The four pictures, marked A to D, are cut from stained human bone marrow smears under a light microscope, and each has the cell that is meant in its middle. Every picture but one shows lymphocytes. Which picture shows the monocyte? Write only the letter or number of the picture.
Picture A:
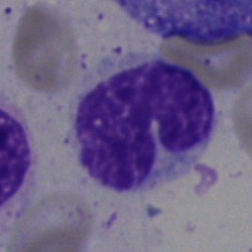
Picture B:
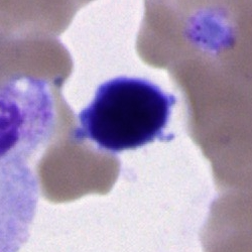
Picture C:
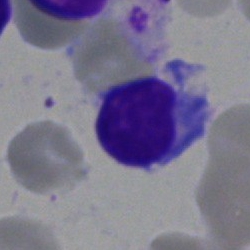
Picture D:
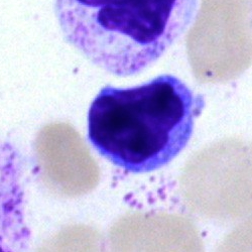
A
